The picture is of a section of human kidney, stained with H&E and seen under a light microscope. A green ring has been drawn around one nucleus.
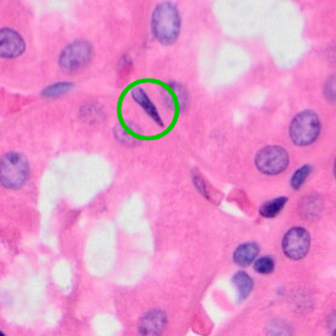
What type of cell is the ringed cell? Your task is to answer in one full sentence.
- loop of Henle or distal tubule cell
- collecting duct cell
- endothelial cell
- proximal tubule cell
For the purposes of cell typing, the ringed cell is categorized as an endothelial cell.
